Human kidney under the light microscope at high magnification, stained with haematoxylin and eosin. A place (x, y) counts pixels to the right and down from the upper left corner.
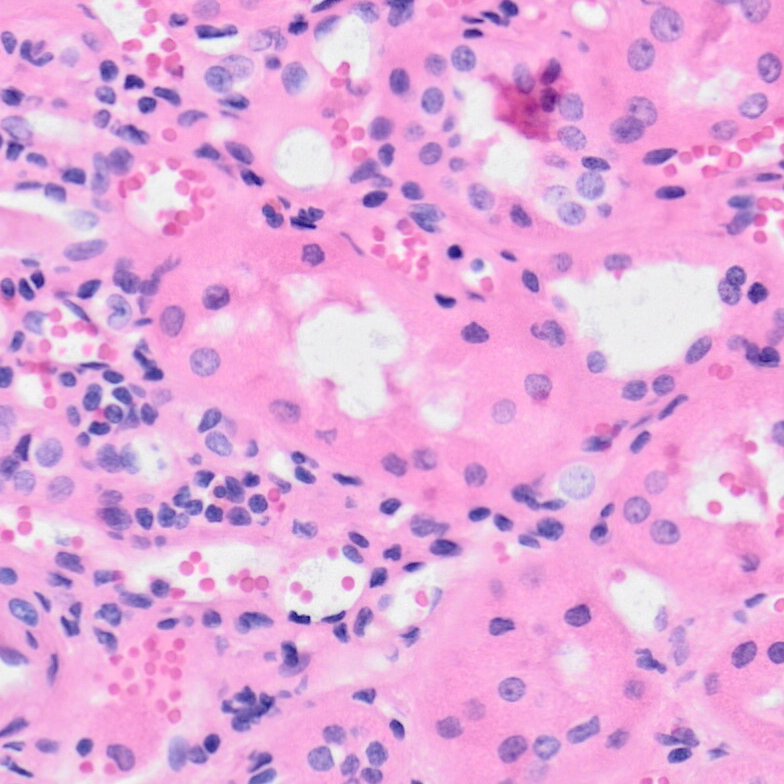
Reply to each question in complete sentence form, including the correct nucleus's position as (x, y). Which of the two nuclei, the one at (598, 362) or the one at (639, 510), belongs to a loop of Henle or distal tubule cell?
Of the two nuclei, that at (598, 362) is the nucleus of a loop of Henle or distal tubule cell.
